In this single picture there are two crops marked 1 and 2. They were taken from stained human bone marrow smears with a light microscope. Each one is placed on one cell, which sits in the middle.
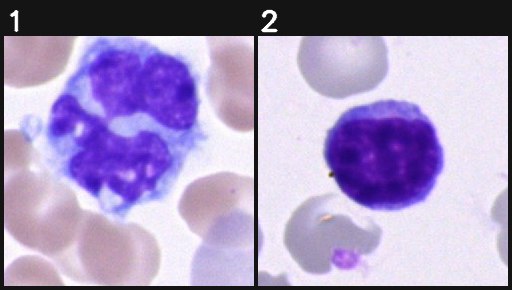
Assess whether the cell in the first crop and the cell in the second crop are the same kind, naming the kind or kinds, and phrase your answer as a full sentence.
No, crop 1 depicts a monocyte; crop 2 depicts a lymphocyte.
